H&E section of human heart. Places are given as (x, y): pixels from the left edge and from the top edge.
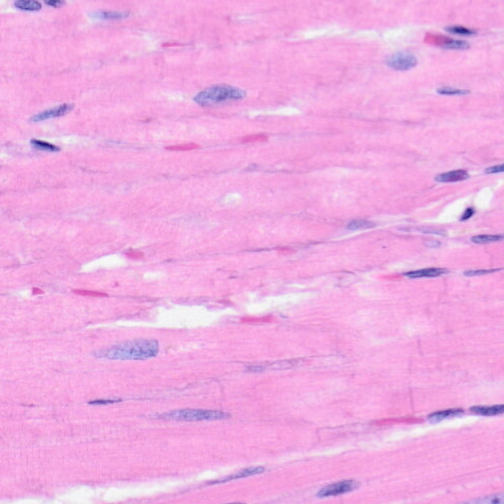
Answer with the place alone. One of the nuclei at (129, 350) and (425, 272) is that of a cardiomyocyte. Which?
(129, 350)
